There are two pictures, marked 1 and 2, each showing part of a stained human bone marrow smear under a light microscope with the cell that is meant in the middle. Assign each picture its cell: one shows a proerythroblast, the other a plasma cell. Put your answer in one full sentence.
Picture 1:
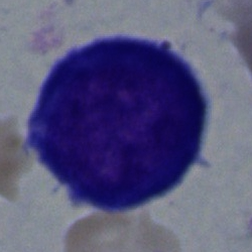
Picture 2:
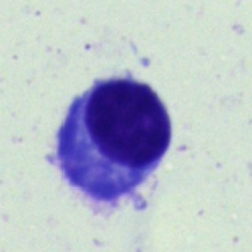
The cell in picture 1 is a proerythroblast, and the one in picture 2 is a plasma cell.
